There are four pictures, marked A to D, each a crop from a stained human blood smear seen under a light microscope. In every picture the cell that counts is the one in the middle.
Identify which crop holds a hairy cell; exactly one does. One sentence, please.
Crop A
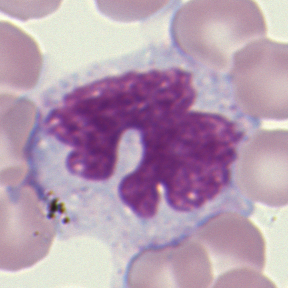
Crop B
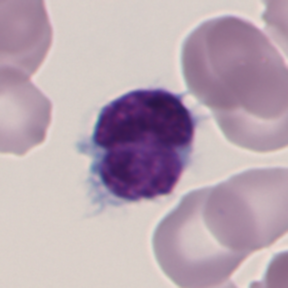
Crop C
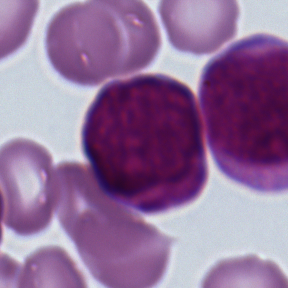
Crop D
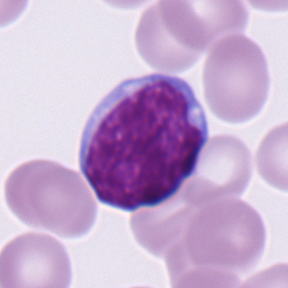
Crop B is the one that shows a hairy cell.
